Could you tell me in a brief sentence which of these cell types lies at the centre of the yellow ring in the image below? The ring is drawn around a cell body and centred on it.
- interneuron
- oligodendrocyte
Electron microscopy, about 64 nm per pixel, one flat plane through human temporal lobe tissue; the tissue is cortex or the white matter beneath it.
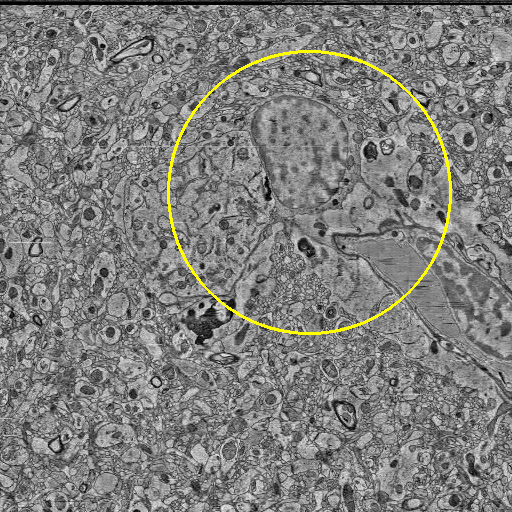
The cell centred in the ring is an oligodendrocyte.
